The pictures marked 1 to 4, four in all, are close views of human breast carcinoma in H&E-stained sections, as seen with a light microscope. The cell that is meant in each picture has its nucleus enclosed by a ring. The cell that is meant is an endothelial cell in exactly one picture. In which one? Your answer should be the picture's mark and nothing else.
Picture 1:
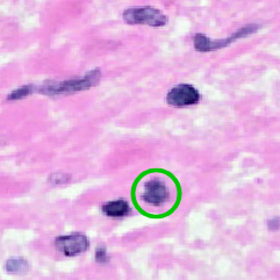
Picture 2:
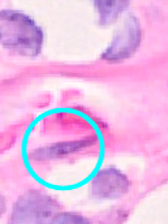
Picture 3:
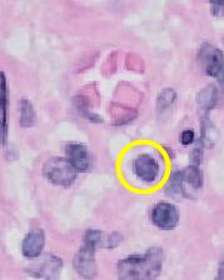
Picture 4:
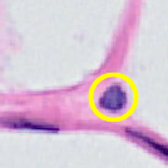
2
